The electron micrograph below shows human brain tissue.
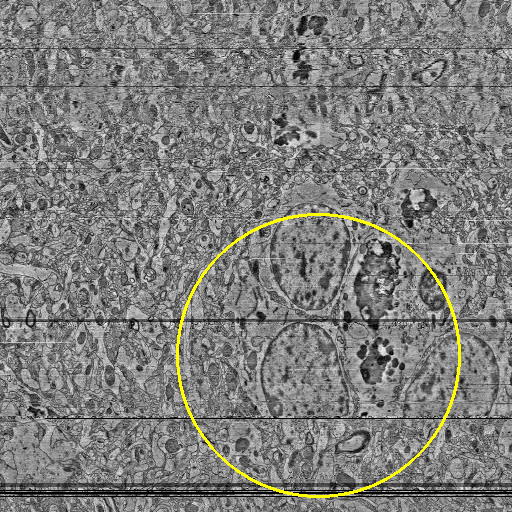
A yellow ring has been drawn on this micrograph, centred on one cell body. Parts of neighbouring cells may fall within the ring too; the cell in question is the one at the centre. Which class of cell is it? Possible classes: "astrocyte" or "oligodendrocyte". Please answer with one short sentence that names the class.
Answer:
In the centre of the ring sits an astrocyte.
